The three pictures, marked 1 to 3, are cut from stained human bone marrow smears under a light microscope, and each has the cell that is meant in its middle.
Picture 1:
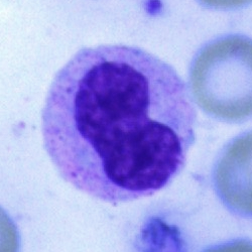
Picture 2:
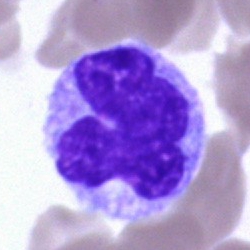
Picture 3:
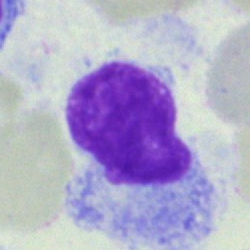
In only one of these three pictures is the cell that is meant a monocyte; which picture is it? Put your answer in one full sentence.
Picture 2 is the one that shows the monocyte.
